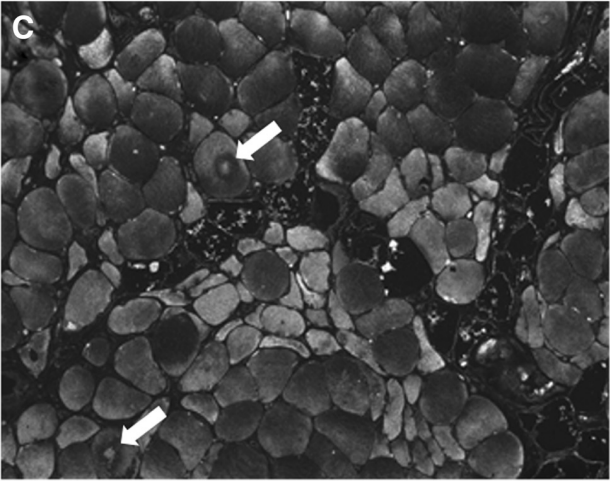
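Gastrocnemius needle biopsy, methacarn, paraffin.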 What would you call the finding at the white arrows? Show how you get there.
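The arrowed fibers show a central spot surrounded by a concentric zone. That points to this answer: target lesions.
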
